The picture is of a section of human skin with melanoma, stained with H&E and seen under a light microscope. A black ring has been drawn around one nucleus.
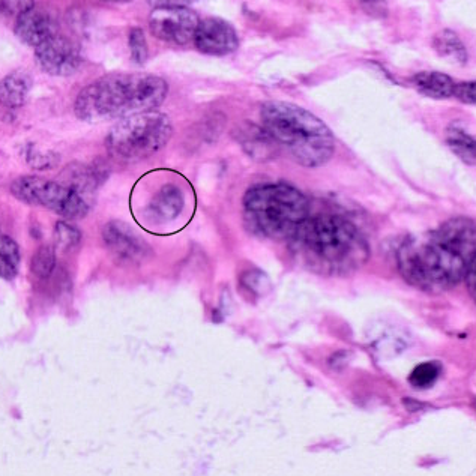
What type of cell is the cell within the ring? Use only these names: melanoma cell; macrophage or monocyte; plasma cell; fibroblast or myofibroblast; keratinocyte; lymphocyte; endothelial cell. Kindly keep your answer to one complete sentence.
In this preparation, the cell within the ring is an endothelial cell.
